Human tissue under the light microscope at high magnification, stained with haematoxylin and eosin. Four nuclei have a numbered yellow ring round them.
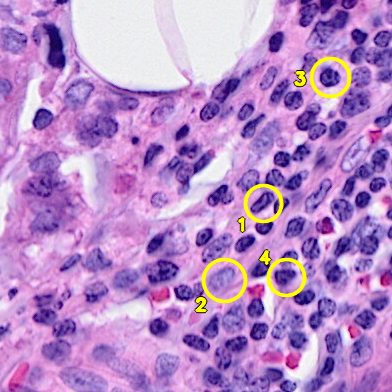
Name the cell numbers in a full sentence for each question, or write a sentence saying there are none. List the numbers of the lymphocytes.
Classified as lymphocytes are the cells numbered 1, 3 and 4.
